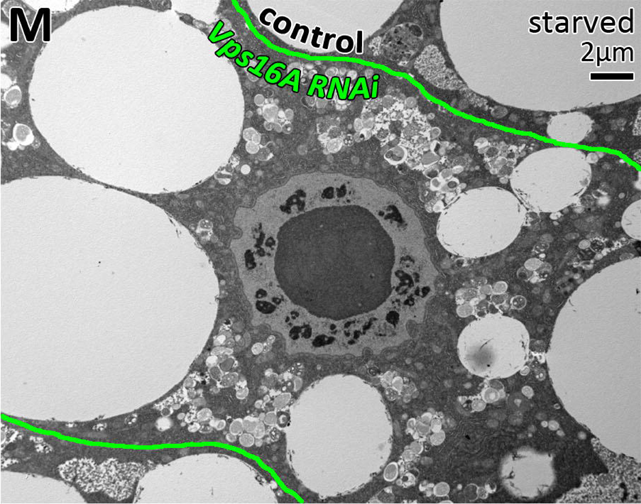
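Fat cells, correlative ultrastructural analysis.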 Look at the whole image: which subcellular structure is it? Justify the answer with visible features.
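Clusters of small membrane-bound vesicles lie in the cytoplasm around the central nucleus. The clusters are below the green line.
Autophagosomes.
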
